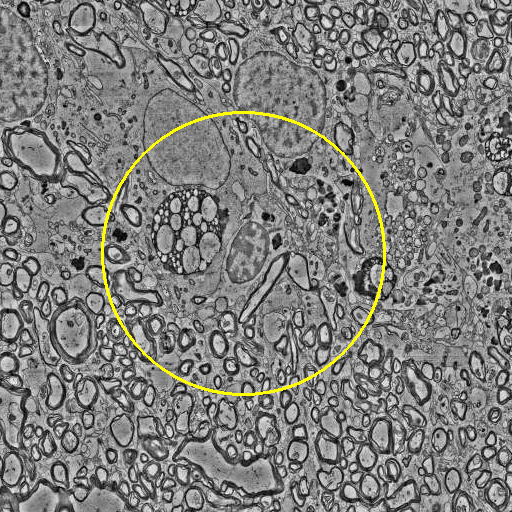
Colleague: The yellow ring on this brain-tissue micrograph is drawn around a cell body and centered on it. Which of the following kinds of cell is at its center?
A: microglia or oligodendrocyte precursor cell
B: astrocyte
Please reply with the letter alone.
A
